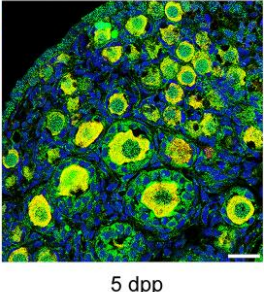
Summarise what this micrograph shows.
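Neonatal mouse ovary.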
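Ovarian tissue with follicles, each made of a large central oocyte surrounded by granulosa cells. The larger follicles have one or more layers of small granulosa cells with blue nuclei around the oocyte, and green signal is also seen in the cytoplasm around these nuclei. Smaller follicles with smaller oocytes lie crowded near the edge of the section. Between the follicles lies stroma of densely packed blue nuclei.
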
